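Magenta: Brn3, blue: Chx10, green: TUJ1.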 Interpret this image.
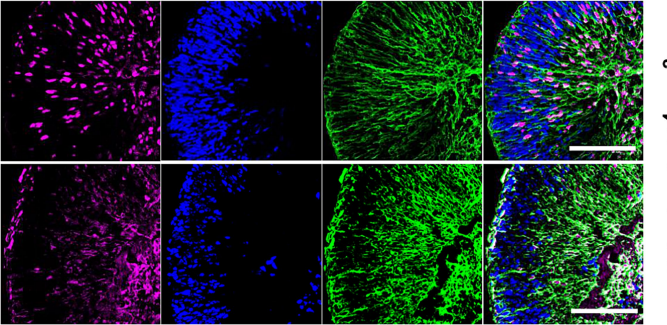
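These are sections of retinal organoids, shown as two rows of fluorescence images, each with the three colour channels separately and then merged. In the merged images the magenta nuclei mostly lie among the green fibres, partly apart from the densest zone of blue nuclei. In the lower row the magenta is more diffuse and less confined to discrete nuclei, and the blue nuclei are sparser than in the upper row.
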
